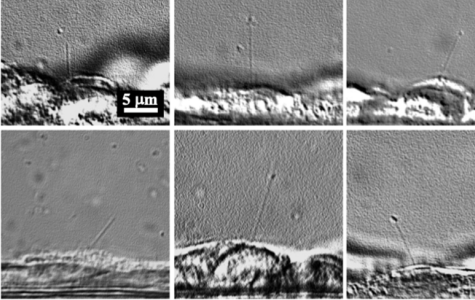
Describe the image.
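This is a side view of a layer of cultured cells, with cilia rising from their upper surface. The cells form the dense, bright, uneven band along the bottom of each image. From the top surface of that band, single thin hair-like cilia stand up into the clear space above. Some stand nearly upright and some lean, and they differ in how far they reach.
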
